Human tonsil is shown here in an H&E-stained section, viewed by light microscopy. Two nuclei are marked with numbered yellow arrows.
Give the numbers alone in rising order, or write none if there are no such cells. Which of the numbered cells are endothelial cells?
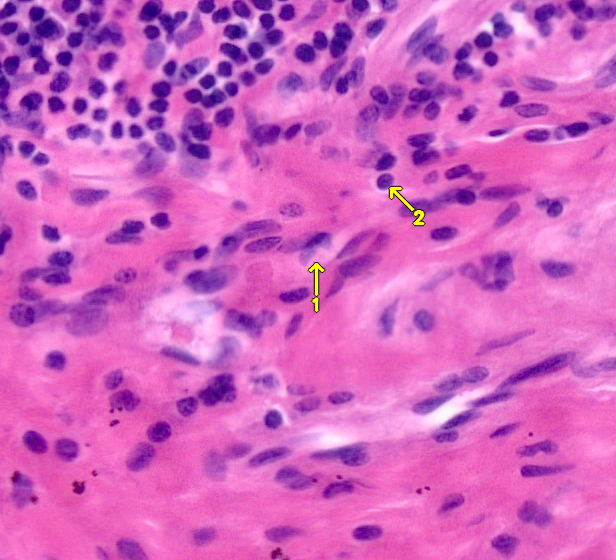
1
